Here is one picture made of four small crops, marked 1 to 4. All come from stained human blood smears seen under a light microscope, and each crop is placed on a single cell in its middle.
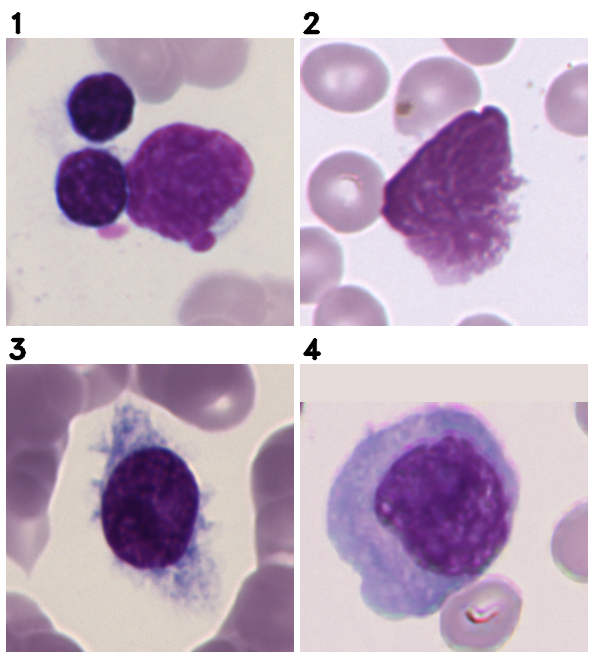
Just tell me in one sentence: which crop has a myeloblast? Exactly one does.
The crop carrying a myeloblast at the center is crop 1.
